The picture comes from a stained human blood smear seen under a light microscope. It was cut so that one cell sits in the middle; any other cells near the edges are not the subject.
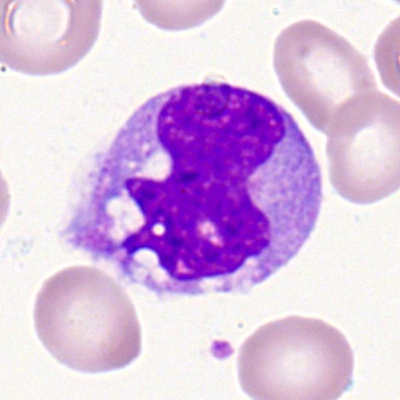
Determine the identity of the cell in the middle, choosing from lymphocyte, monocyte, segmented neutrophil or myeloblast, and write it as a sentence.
Centred in the crop is a monocyte.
